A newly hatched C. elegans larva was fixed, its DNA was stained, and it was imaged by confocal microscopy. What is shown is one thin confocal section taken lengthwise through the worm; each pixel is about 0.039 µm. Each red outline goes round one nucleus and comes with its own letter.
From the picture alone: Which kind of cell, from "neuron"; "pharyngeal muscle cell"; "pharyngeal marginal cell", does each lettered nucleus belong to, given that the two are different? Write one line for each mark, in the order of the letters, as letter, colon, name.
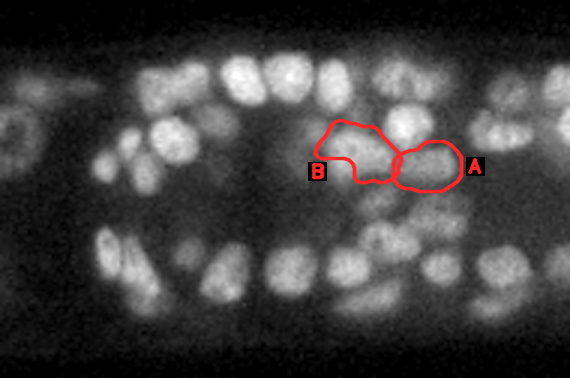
A: pharyngeal marginal cell
B: pharyngeal muscle cell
